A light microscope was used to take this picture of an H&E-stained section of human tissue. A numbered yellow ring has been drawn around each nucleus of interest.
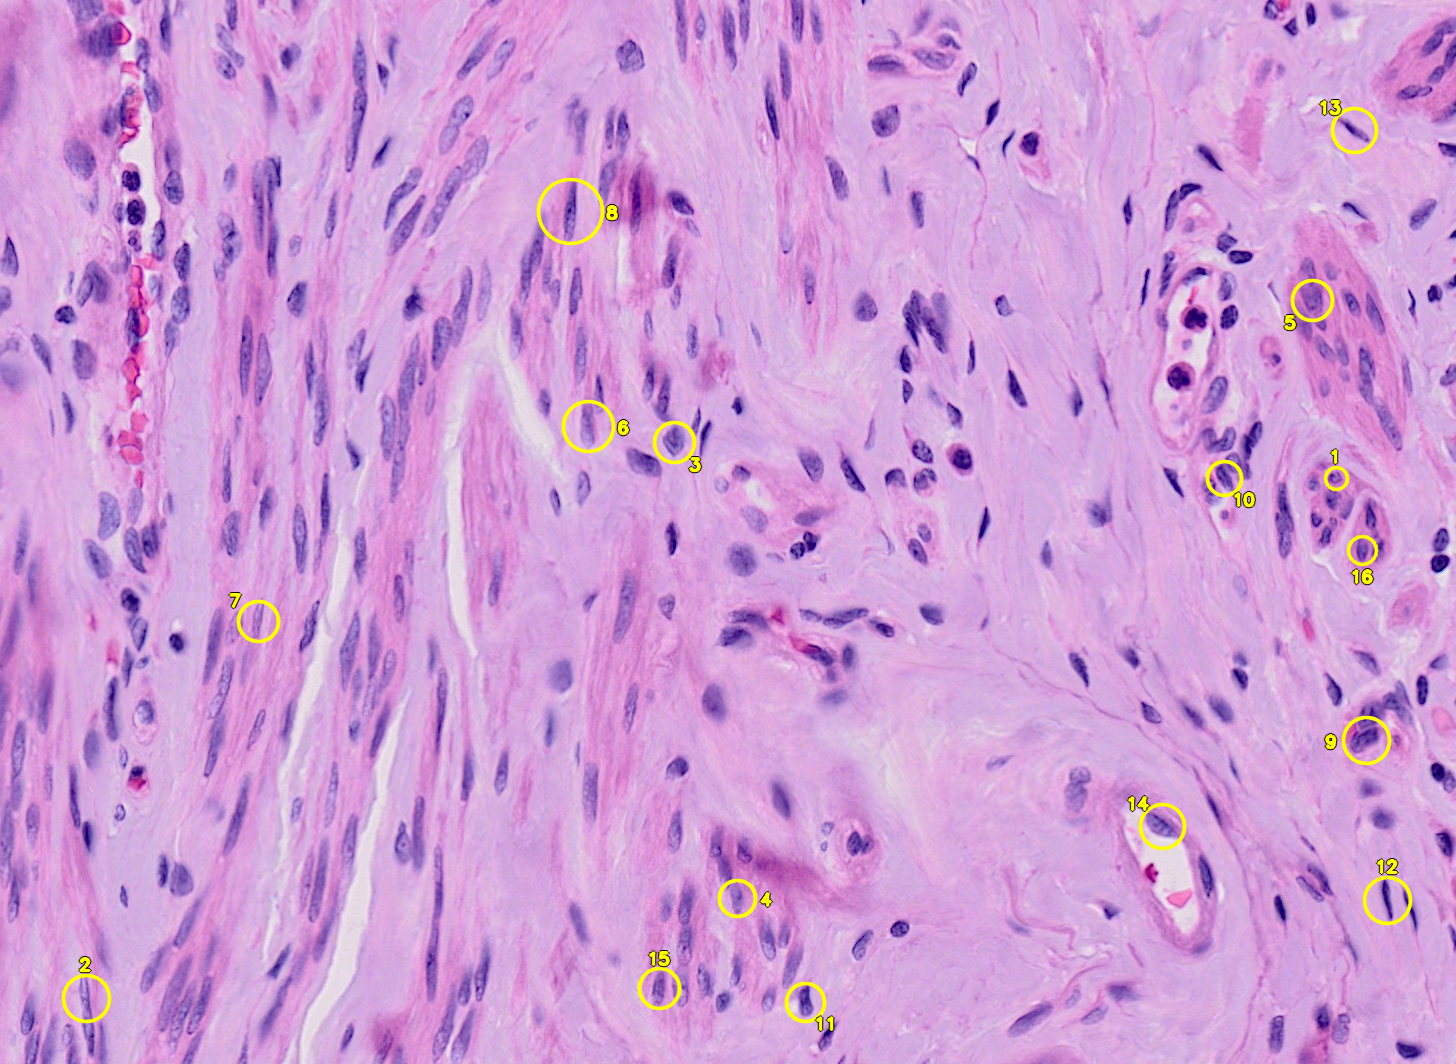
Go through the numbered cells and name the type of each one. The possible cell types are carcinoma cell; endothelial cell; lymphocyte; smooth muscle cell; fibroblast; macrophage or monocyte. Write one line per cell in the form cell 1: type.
cell 1: smooth muscle cell
cell 2: smooth muscle cell
cell 3: fibroblast
cell 4: smooth muscle cell
cell 5: smooth muscle cell
cell 6: smooth muscle cell
cell 7: smooth muscle cell
cell 8: smooth muscle cell
cell 9: endothelial cell
cell 10: endothelial cell
cell 11: fibroblast
cell 12: fibroblast
cell 13: fibroblast
cell 14: endothelial cell
cell 15: smooth muscle cell
cell 16: smooth muscle cell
